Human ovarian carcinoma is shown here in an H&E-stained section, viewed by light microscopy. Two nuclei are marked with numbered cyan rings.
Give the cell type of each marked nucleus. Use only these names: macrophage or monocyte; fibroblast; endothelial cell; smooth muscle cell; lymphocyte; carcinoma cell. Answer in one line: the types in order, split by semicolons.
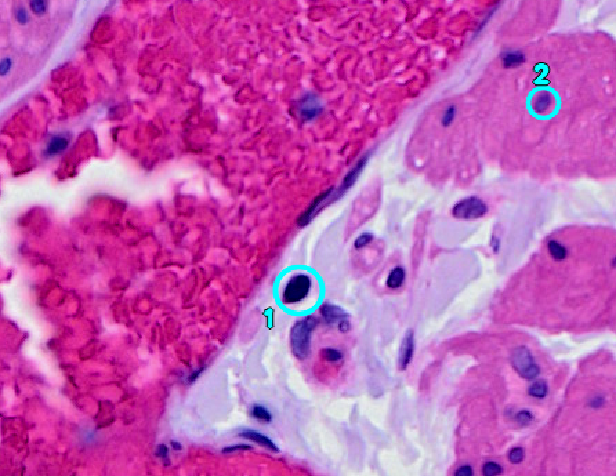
lymphocyte; smooth muscle cell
